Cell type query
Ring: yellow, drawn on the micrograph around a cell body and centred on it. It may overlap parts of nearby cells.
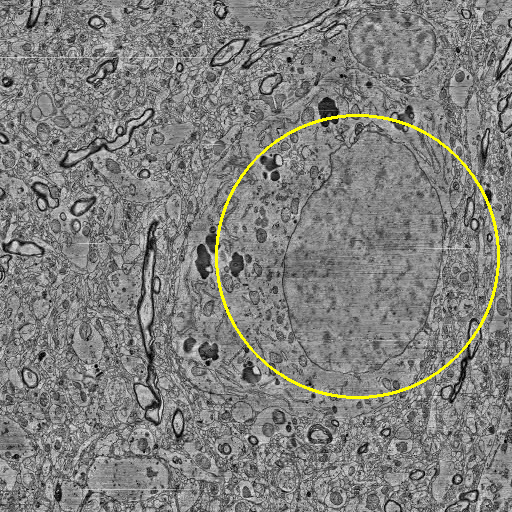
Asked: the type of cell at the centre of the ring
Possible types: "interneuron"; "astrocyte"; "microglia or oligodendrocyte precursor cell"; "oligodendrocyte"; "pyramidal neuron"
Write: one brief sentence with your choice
The ring marks an interneuron.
